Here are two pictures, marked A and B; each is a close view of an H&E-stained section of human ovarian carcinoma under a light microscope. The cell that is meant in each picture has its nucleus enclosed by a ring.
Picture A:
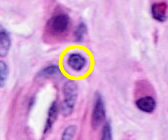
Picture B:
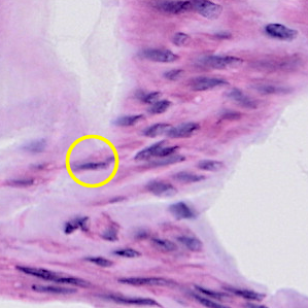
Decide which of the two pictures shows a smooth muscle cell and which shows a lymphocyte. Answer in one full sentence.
The cell in picture A is a lymphocyte, and the one in picture B is a smooth muscle cell.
